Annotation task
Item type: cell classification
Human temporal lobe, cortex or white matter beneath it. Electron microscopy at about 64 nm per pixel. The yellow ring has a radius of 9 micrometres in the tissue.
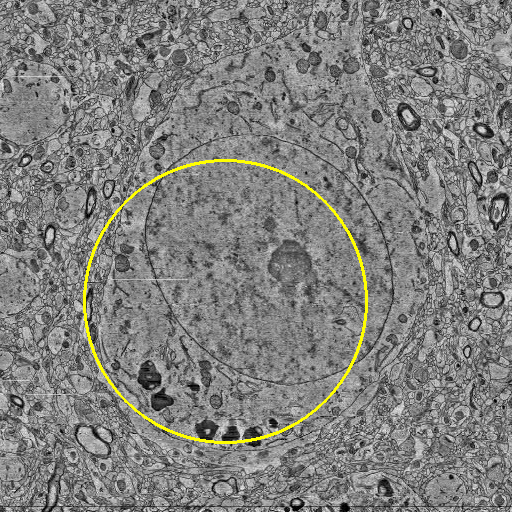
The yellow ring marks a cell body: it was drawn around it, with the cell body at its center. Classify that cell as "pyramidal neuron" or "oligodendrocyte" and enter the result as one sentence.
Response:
The ring's center falls on a pyramidal neuron.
